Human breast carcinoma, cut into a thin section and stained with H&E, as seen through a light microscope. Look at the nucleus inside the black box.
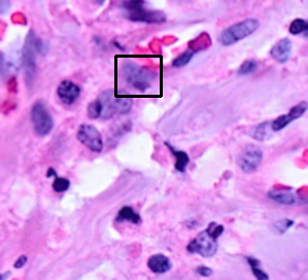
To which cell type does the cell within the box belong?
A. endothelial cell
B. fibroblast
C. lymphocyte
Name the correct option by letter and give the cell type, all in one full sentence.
What option A states, that the cell within the box is an endothelial cell, is correct.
